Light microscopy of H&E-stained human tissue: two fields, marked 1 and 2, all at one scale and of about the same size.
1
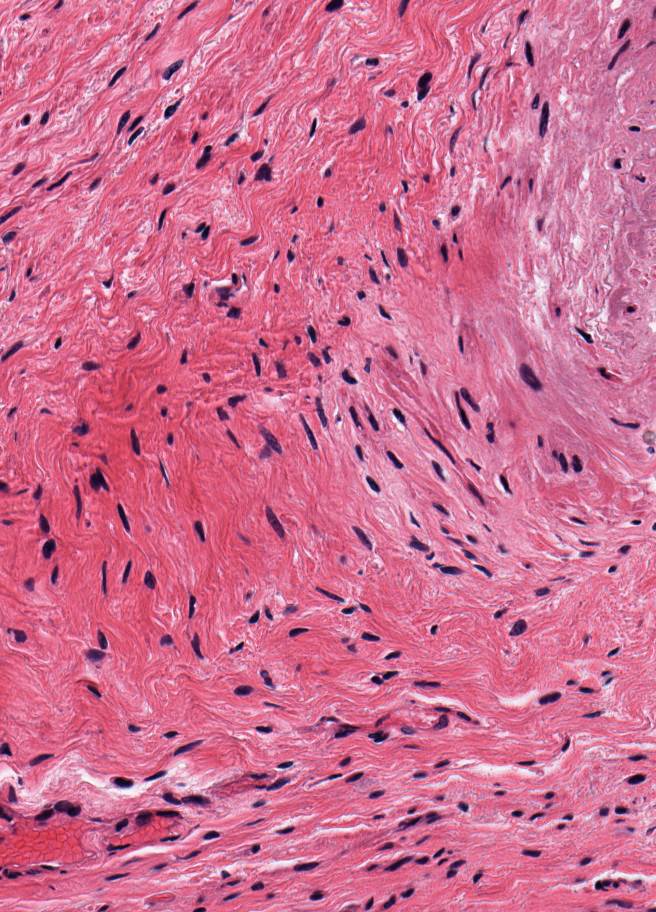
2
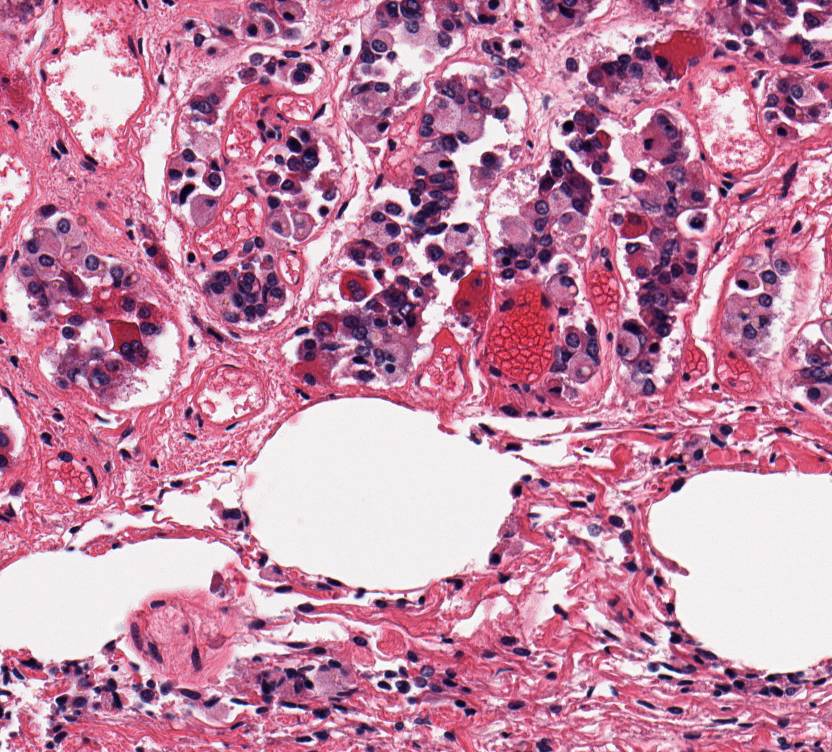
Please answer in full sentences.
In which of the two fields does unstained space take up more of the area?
It is field 2 in which white space covers the larger part.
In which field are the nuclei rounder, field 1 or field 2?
On the whole the nuclei of field 2 are rounder than those of field 1.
